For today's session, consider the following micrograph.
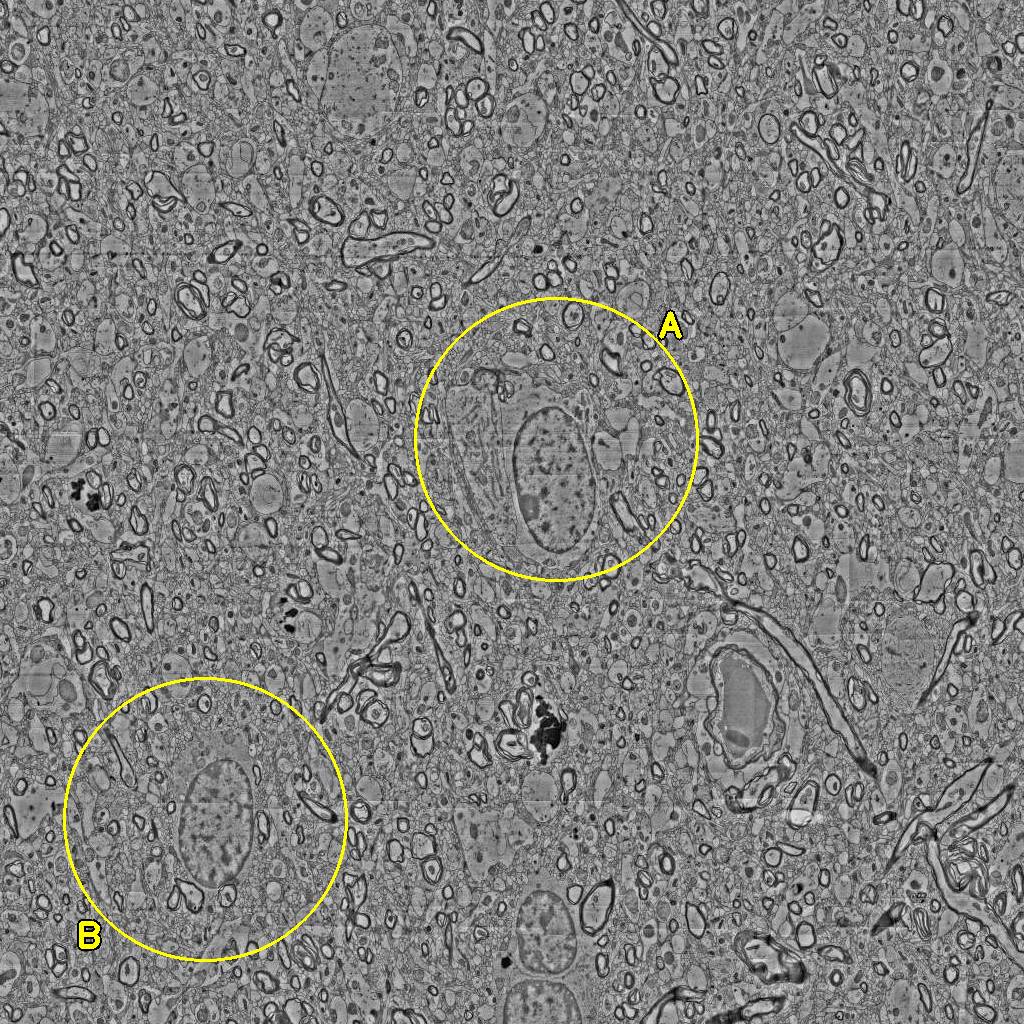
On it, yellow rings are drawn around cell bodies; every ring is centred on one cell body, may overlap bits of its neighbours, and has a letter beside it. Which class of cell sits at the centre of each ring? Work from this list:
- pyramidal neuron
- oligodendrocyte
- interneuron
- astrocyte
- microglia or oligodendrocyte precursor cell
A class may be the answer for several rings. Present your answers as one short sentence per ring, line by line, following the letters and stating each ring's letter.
Ring A centres on a microglial cell or oligodendrocyte precursor cell.
Ring B centres on an oligodendrocyte.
